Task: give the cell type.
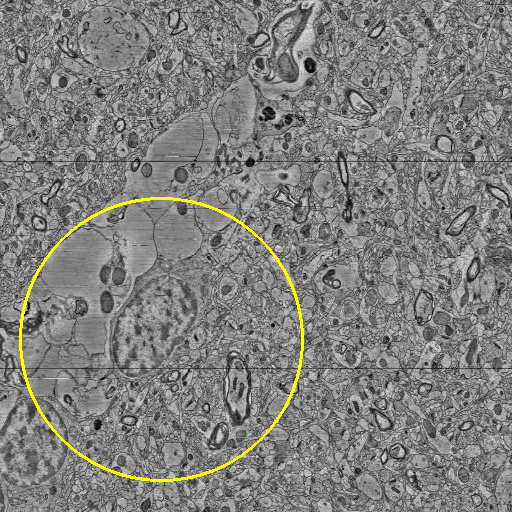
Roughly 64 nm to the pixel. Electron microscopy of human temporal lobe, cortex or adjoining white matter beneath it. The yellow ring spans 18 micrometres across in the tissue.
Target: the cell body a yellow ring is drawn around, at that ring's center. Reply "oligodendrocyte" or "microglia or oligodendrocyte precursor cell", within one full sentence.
In this picture, the cell whose body lies at the ring's center is an oligodendrocyte.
